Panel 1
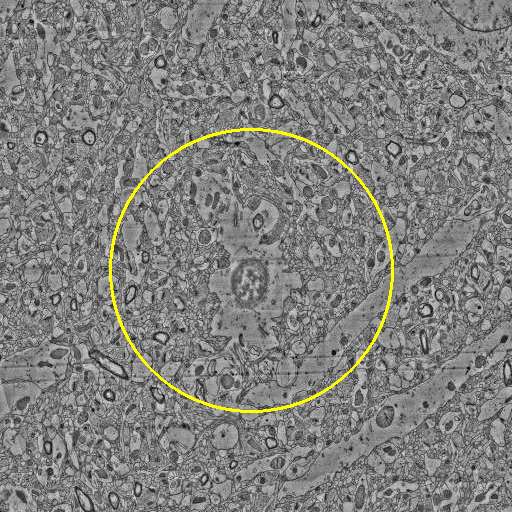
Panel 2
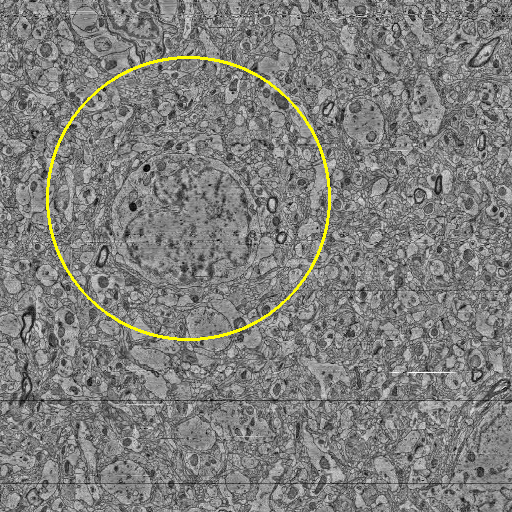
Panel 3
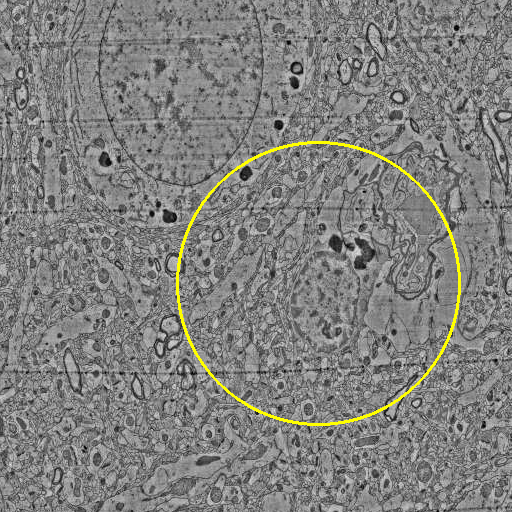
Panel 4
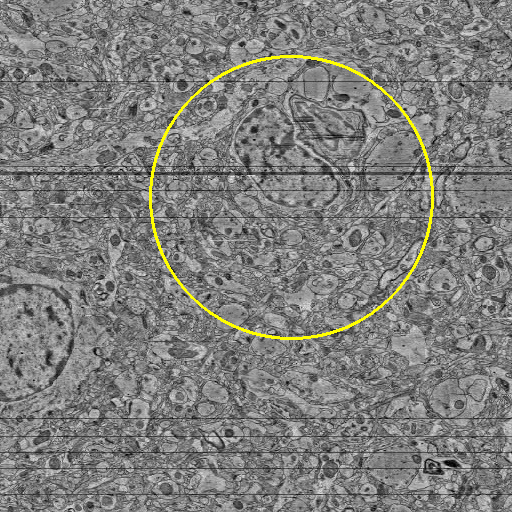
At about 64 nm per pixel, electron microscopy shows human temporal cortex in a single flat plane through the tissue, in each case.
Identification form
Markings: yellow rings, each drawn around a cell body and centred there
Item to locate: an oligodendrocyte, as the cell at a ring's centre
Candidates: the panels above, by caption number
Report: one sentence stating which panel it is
It is Panel 3.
